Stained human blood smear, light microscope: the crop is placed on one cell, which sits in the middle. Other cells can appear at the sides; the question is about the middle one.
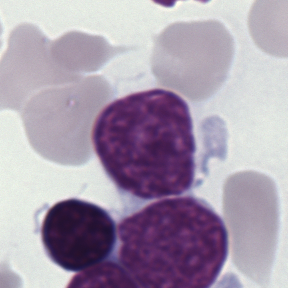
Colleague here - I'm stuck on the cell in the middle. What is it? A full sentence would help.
This crop has a blast at its centre.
